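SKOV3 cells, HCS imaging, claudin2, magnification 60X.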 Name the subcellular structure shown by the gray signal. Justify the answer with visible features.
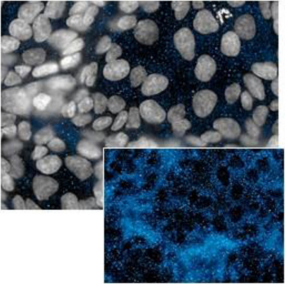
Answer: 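Gray bodies are oval to round with smooth outlines. Gray bodies show fine internal texture.
Nucleus.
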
